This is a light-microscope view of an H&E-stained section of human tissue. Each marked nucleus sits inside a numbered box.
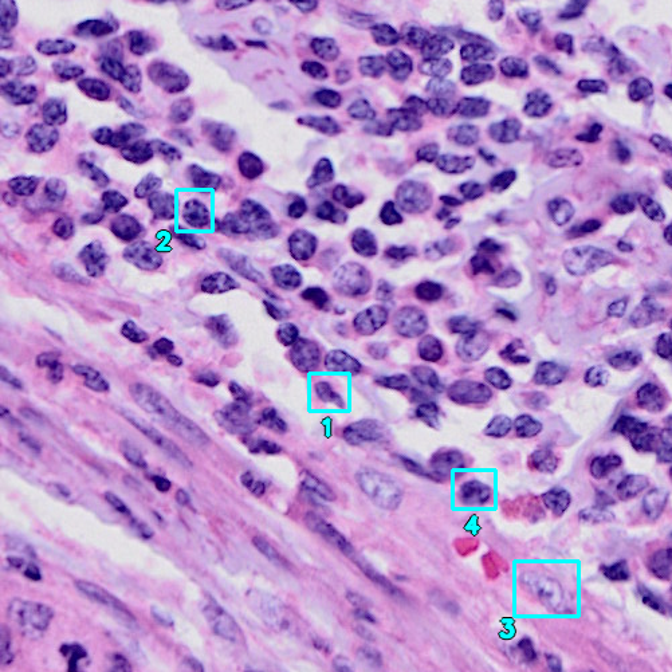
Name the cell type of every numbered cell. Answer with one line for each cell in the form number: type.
1: lymphocyte
2: lymphocyte
3: endothelial cell
4: lymphocyte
